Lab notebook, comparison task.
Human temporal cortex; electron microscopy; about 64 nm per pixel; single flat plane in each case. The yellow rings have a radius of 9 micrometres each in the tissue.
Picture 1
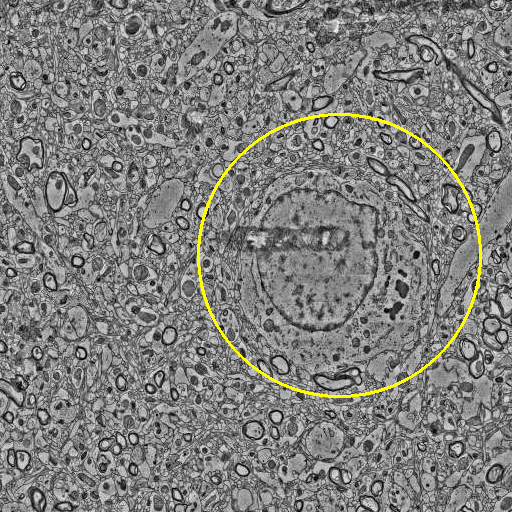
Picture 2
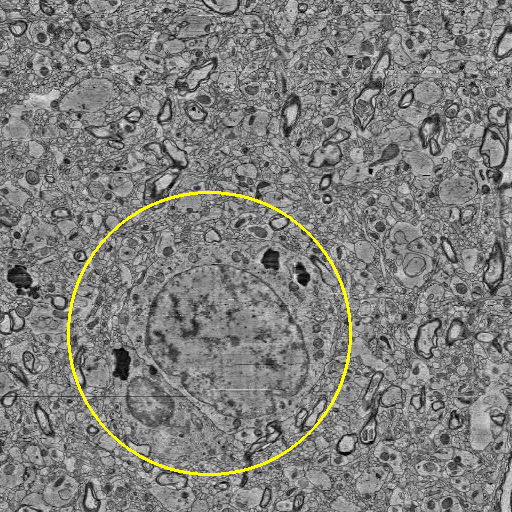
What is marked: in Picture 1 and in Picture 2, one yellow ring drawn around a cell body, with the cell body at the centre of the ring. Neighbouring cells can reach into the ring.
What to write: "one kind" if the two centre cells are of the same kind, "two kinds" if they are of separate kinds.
one kind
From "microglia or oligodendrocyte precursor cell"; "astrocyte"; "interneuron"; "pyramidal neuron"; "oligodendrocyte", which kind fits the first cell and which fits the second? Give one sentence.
In each of the two pictures, the ringed cell is an interneuron.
